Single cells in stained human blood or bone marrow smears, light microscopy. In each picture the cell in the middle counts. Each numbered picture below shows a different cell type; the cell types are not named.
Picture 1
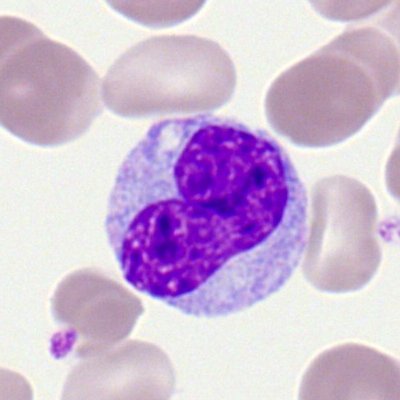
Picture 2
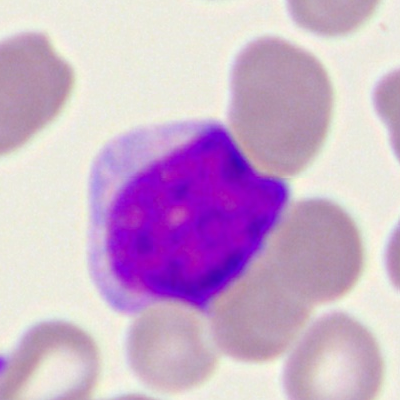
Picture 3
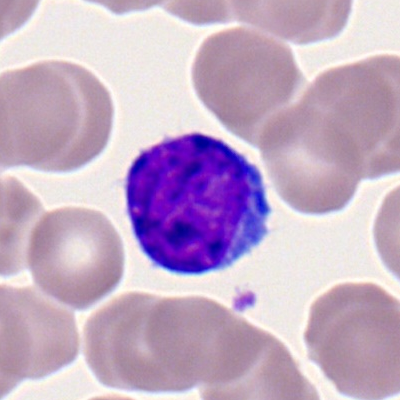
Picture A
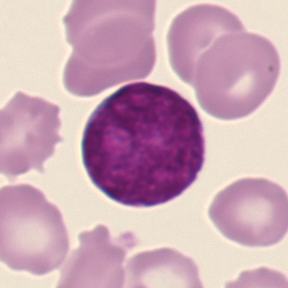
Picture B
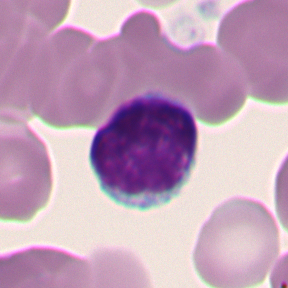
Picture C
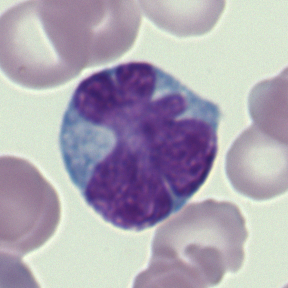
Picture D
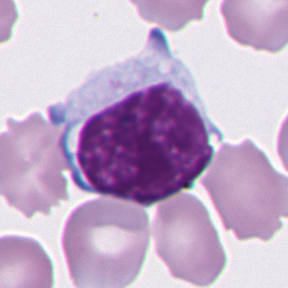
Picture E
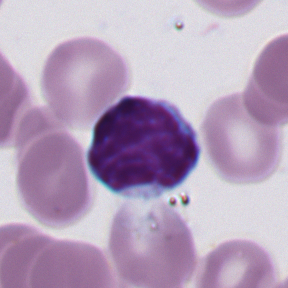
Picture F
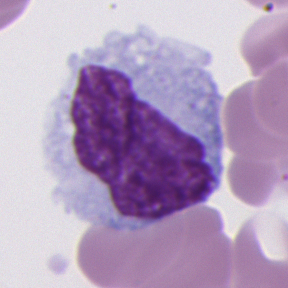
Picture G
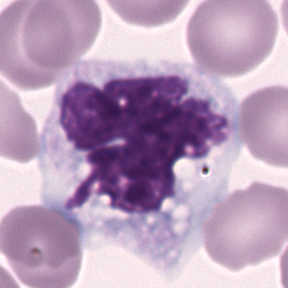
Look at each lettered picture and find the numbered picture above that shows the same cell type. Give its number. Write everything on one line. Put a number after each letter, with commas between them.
A 2, B 3, C 2, D 3, E 3, F 1, G 1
